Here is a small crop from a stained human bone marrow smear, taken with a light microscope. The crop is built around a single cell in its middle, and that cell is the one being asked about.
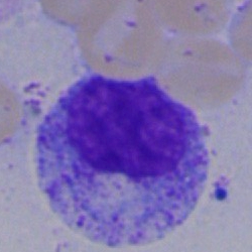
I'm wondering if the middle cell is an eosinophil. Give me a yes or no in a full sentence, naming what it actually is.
No, the cell at the centre is identified as a myelocyte, not as an eosinophil.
